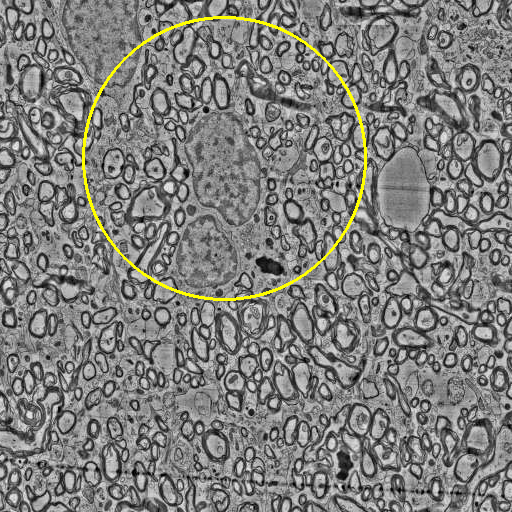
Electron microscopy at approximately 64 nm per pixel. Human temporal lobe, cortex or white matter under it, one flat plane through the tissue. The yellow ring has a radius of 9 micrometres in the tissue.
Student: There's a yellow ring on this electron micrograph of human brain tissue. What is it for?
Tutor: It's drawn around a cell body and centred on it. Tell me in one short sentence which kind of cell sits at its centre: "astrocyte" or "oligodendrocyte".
The cell at the centre of the ring is an oligodendrocyte.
